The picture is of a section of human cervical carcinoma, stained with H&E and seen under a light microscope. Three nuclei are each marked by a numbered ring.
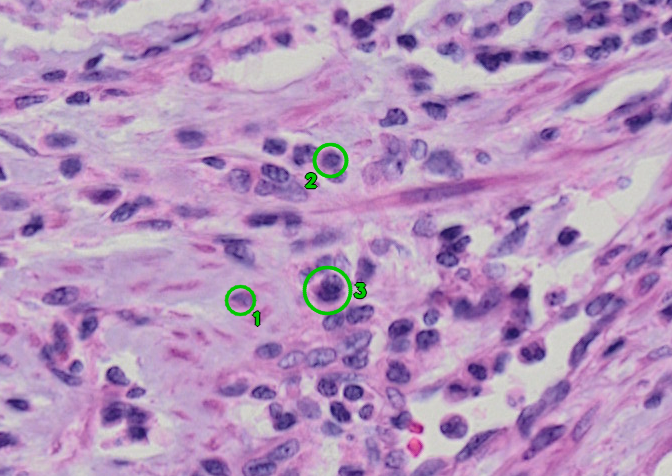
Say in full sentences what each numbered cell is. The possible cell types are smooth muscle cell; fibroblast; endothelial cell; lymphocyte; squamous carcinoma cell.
Cell 1 is a smooth muscle cell, cell 2 is a lymphocyte and cell 3 is a lymphocyte.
